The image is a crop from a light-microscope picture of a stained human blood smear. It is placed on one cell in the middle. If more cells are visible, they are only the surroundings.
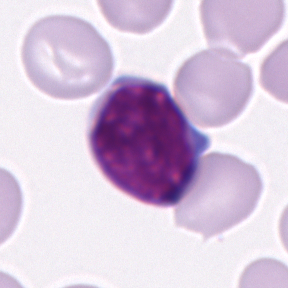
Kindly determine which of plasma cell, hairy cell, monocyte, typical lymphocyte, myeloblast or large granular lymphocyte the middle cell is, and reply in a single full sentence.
Located at the centre of the crop is a typical lymphocyte.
